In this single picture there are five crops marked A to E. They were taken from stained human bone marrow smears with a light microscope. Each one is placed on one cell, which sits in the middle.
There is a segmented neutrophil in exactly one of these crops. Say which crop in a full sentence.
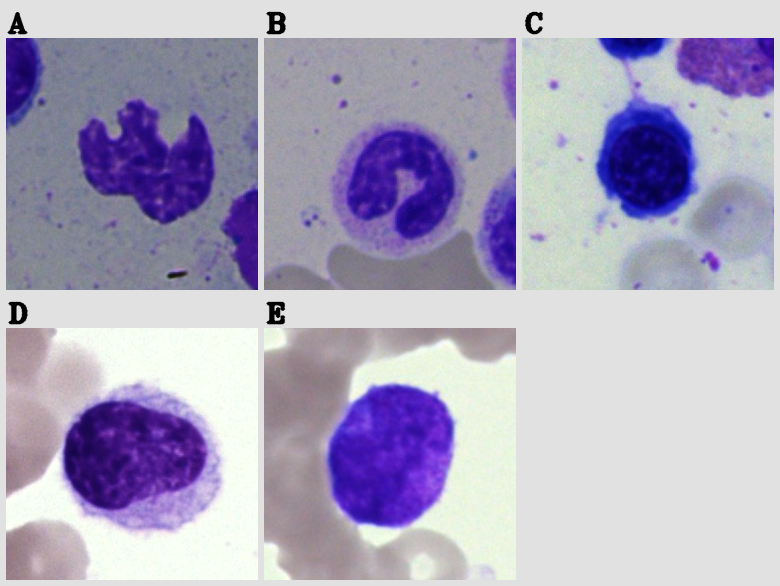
Within this set, crop A is the one with a segmented neutrophil at its center.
